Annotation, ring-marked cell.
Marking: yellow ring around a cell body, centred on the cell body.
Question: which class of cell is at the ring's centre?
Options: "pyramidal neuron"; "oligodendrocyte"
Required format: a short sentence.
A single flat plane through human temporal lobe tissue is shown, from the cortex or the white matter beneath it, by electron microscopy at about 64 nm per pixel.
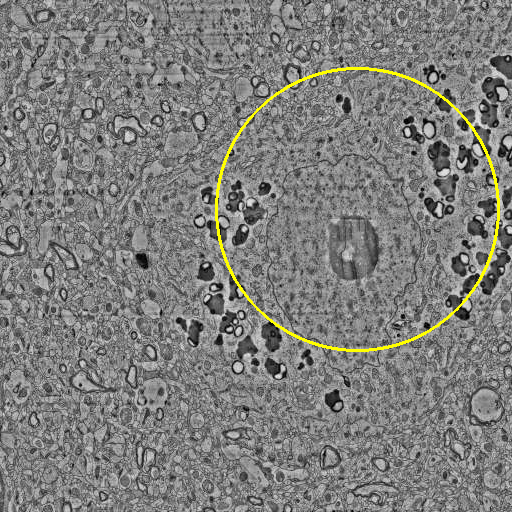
At the ring's centre is a pyramidal neuron.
